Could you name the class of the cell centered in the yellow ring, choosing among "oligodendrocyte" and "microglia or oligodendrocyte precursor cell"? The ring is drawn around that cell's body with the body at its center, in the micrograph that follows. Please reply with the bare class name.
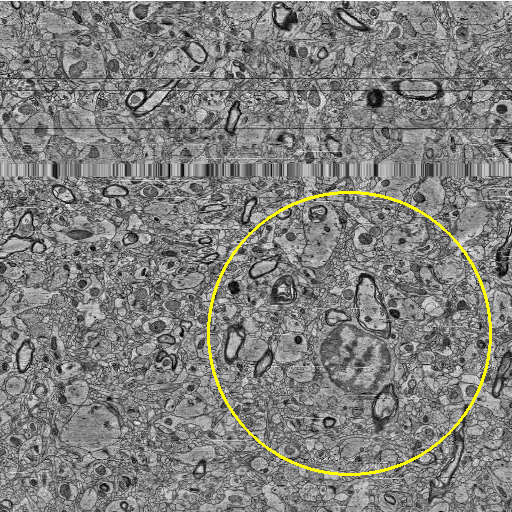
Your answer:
oligodendrocyte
